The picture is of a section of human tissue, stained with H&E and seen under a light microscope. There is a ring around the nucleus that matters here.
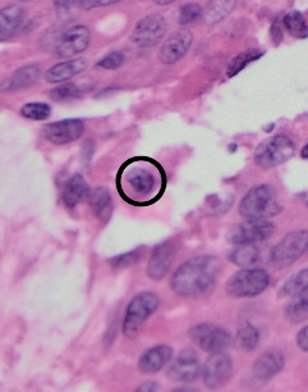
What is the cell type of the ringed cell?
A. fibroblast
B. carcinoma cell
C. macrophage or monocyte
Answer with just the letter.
C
